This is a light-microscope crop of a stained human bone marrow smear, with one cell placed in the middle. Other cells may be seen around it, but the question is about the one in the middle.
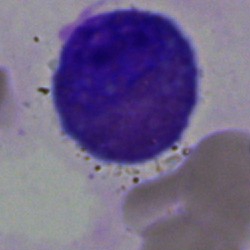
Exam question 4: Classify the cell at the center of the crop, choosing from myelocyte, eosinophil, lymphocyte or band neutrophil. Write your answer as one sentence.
The middle position in this crop is taken by an eosinophil.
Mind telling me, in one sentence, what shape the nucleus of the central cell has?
Key feature: a single compact nucleus, round, oval or kidney-shaped.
